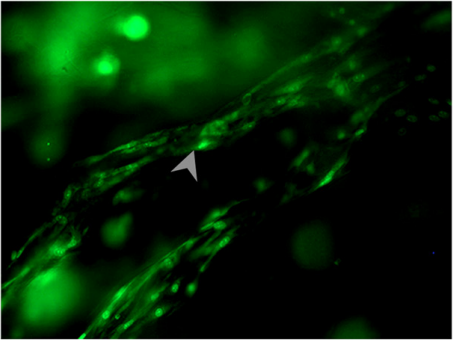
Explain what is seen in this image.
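The cells are stretched into long spindle shapes with drawn-out cytoplasmic extensions, lining up end to end along strands that run diagonally across the field. Blurred out-of-focus green cells lie above and below the plane of focus.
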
